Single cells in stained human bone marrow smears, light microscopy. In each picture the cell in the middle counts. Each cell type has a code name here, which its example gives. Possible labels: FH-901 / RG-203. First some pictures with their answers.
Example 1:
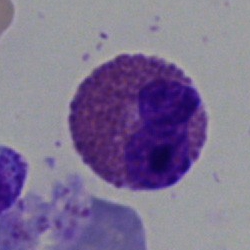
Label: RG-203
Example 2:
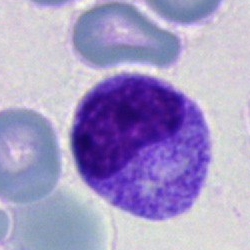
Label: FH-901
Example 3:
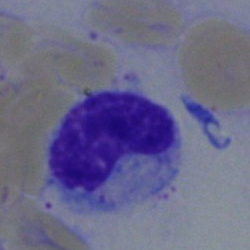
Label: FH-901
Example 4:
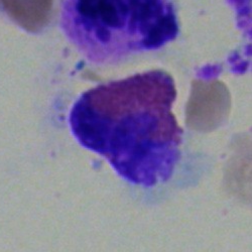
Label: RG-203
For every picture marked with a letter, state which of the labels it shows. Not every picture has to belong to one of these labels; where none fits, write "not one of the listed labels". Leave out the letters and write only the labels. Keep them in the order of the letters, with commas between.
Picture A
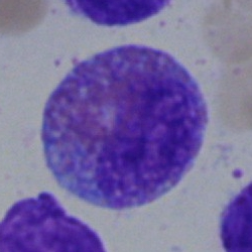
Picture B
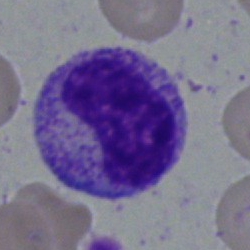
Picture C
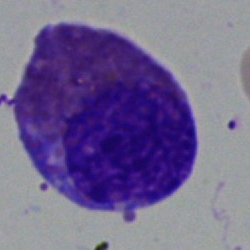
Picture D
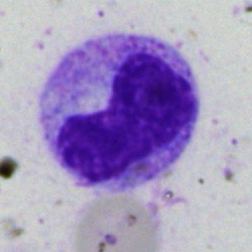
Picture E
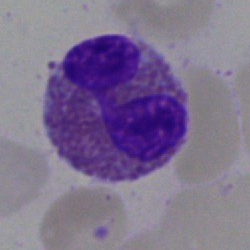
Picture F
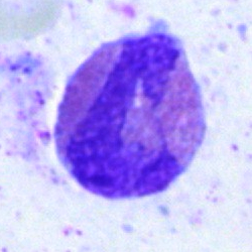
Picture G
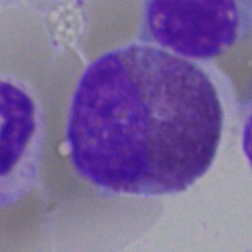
RG-203, FH-901, RG-203, FH-901, RG-203, RG-203, RG-203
